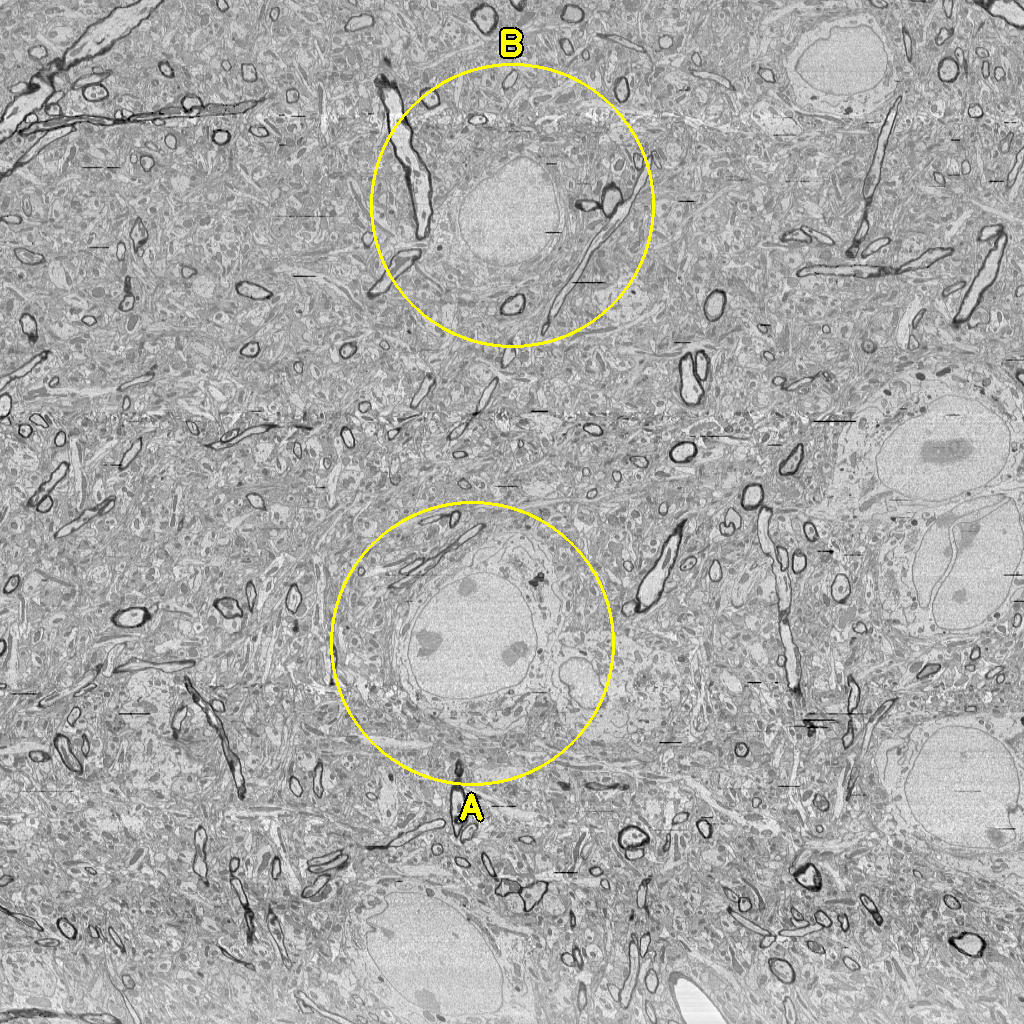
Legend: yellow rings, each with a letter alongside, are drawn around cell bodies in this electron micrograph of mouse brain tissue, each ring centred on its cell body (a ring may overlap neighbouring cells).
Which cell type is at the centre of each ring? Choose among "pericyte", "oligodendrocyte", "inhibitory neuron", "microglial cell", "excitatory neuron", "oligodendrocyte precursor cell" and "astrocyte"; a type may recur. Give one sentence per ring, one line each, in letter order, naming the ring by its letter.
Ring A has an excitatory neuron at its centre.
Ring B has an astrocyte at its centre.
